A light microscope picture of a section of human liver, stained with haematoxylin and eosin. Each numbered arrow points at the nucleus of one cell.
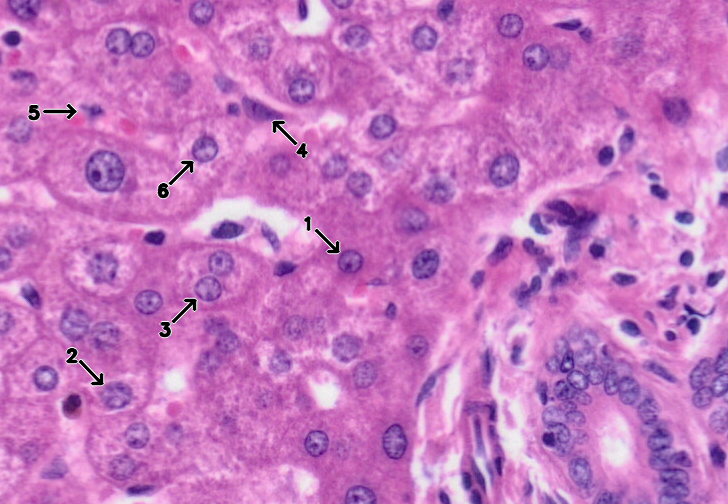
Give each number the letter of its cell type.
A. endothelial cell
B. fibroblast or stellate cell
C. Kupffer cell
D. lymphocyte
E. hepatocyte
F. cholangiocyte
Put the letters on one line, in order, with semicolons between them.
E; E; E; C; A; E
